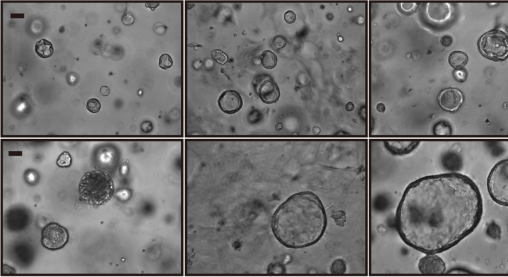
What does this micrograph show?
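In the upper row the spheres are small and numerous, each with a thin darker rim of cells around a pale centre. In the lower row some spheres are much larger, with a thin wall enclosing a wide clear lumen, while others remain small and dense. Out-of-focus spheres and debris appear as blurred grey and dark rings in the background.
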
